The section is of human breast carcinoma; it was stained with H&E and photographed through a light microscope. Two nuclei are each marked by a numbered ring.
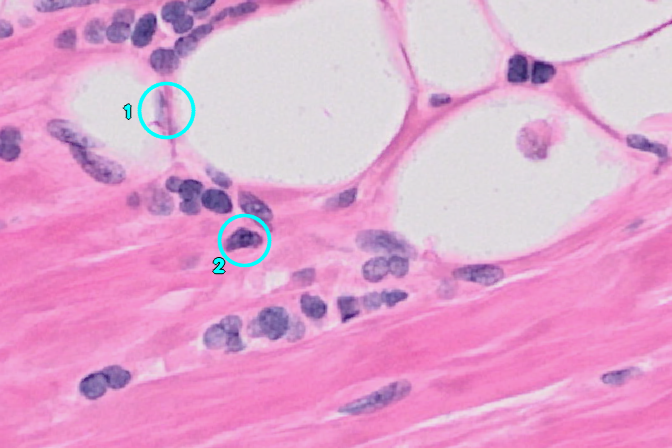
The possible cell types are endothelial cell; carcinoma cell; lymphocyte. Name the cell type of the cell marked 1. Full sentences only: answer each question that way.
The cell that carries the label 1 is an endothelial cell.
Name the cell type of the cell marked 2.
Cell 2, among those numbered, is a lymphocyte.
